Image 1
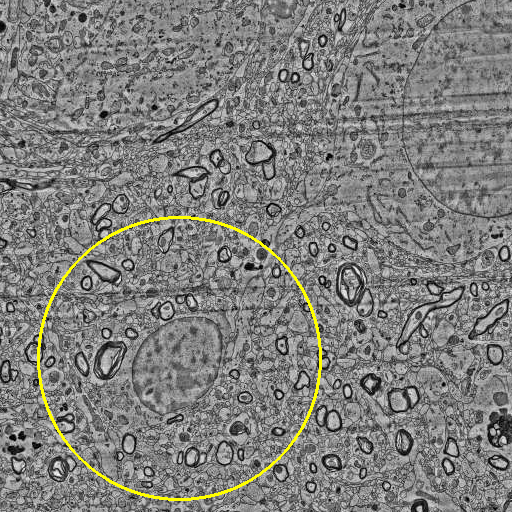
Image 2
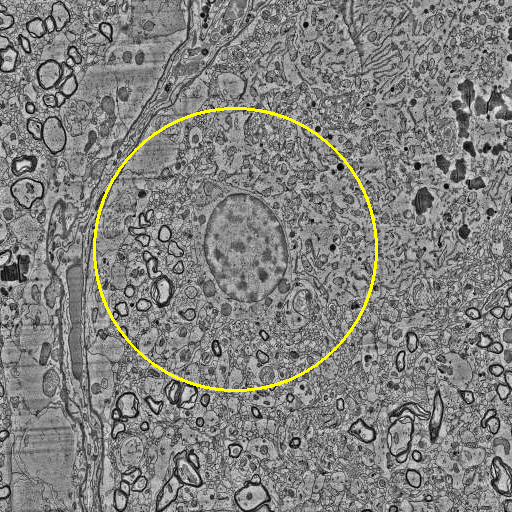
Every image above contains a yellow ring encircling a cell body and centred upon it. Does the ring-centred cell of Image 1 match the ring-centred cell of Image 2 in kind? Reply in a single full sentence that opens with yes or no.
Yes, the cell at the ring's centre in Image 1 is the same kind as that in Image 2.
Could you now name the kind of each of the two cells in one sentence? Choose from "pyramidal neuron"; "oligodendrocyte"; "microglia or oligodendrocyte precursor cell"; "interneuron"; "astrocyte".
The second cell is an oligodendrocyte, just as the first is.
